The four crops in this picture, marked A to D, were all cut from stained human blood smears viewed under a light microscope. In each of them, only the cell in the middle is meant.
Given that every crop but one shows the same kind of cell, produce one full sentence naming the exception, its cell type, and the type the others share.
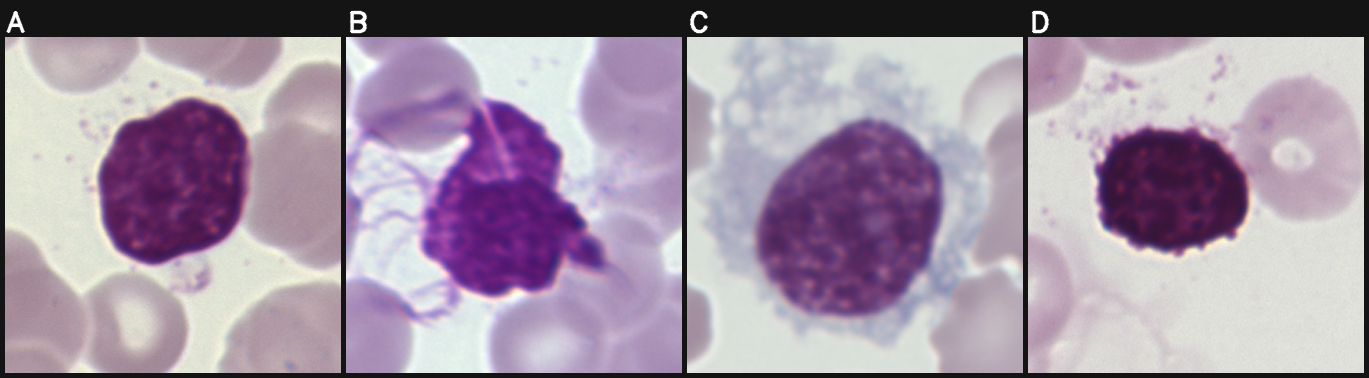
Every crop but one shows smudge cells; the exception, crop C, shows a hairy cell.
